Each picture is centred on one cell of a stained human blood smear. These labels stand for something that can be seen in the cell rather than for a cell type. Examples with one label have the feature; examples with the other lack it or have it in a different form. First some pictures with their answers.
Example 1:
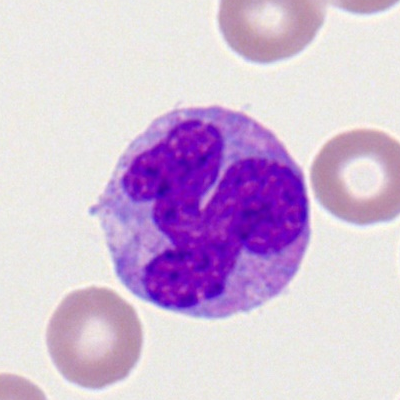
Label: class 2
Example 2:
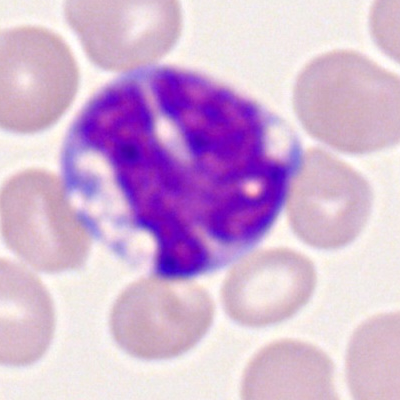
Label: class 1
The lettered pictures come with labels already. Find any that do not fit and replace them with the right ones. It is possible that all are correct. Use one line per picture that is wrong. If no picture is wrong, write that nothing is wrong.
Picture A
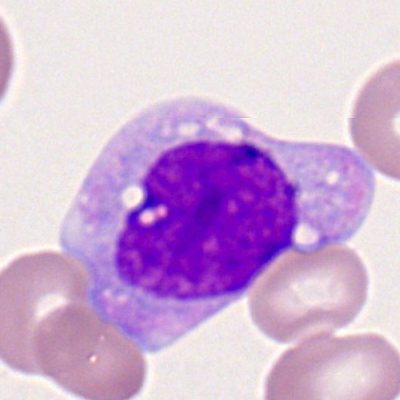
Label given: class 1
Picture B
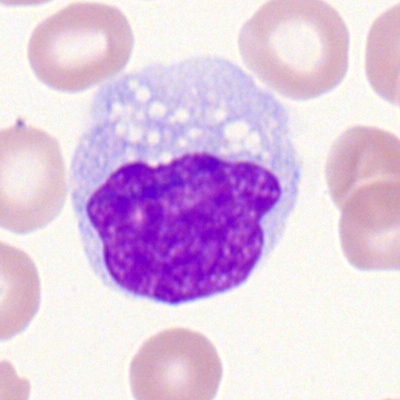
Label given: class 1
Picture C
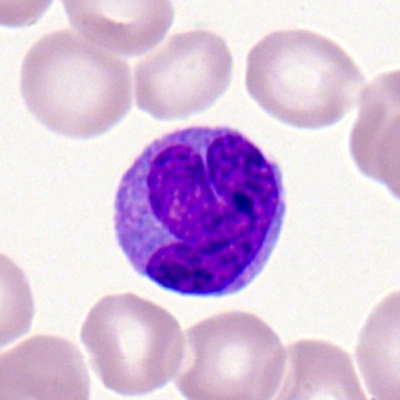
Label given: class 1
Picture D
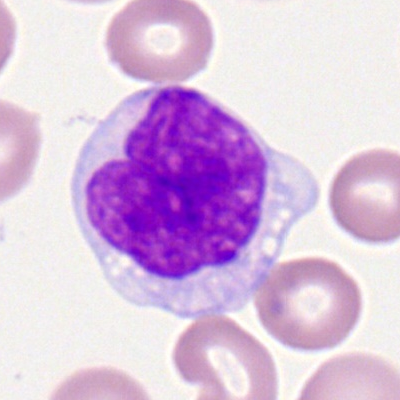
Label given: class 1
C should be class 2, not class 1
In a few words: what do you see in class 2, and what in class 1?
class 2: no vacuoles; class 1: vacuoles present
